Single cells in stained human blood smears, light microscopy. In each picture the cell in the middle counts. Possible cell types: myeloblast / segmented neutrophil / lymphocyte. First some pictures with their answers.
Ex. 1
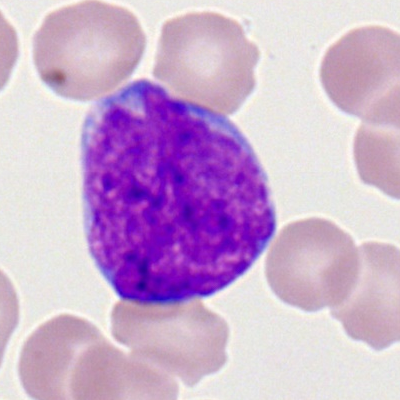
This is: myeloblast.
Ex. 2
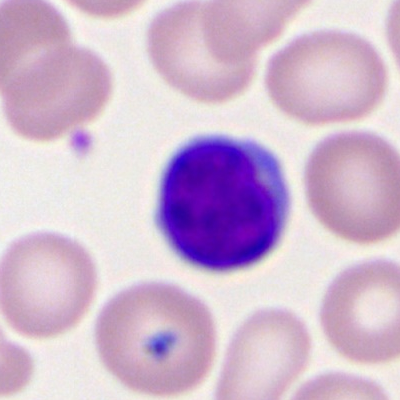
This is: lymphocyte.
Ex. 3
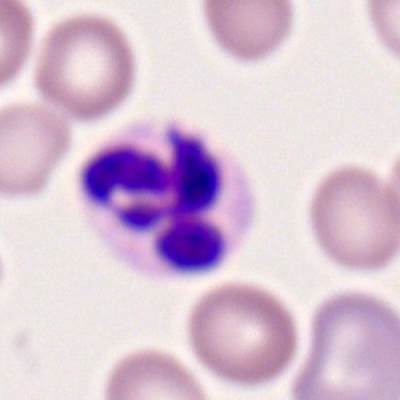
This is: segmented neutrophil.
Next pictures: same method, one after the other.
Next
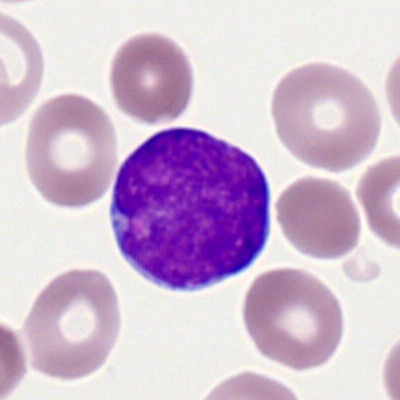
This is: myeloblast.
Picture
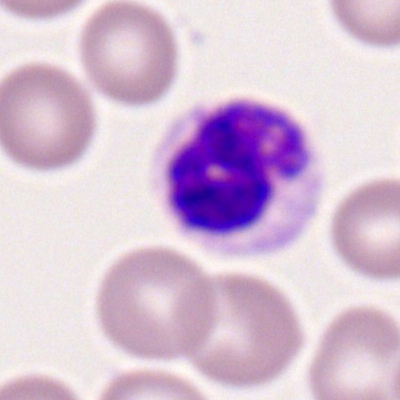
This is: segmented neutrophil.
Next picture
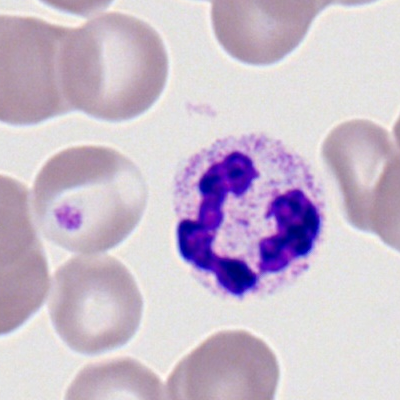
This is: segmented neutrophil.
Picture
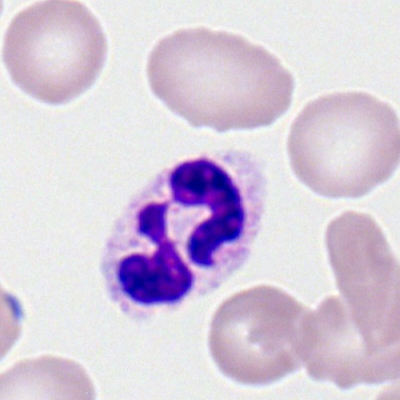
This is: segmented neutrophil.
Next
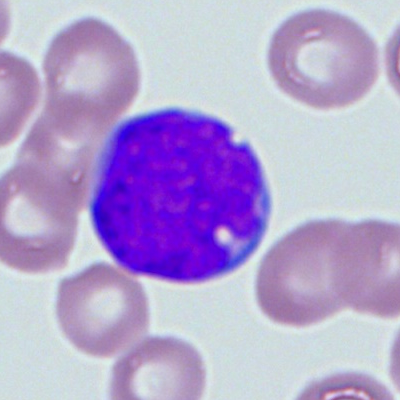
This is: myeloblast.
